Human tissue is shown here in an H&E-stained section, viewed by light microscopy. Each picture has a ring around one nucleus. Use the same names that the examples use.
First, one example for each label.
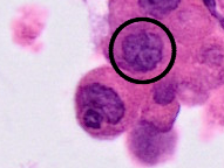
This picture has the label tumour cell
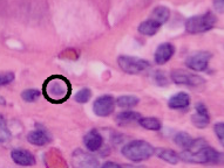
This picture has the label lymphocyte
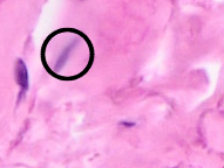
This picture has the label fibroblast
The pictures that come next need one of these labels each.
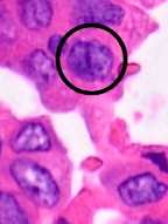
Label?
tumour cell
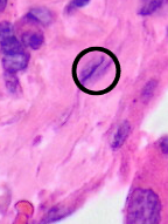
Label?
fibroblast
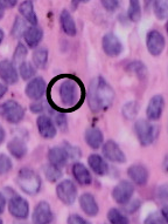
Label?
lymphocyte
